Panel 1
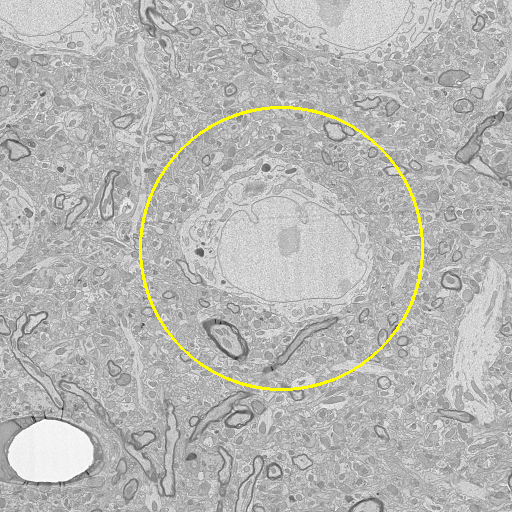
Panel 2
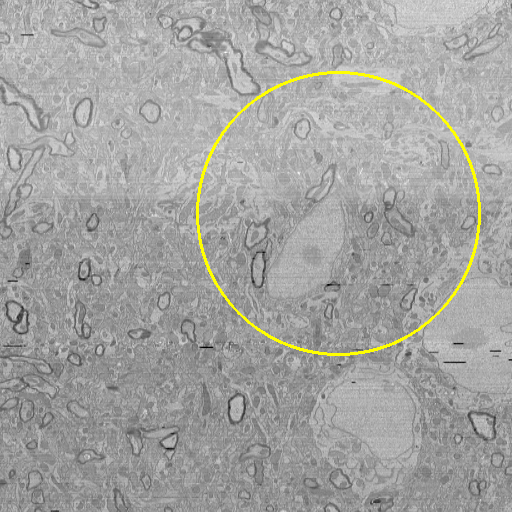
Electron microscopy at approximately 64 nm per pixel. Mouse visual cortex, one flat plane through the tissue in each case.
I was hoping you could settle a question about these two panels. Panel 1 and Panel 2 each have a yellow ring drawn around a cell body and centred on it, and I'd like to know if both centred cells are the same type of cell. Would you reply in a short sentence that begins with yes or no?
No, they are two types of cell.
